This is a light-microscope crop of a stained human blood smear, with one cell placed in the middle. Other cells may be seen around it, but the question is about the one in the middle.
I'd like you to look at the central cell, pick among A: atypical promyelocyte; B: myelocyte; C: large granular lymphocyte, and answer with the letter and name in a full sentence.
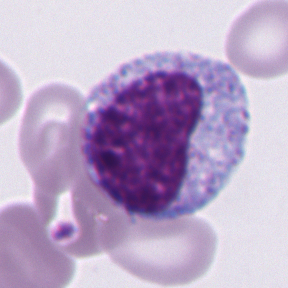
The cell right in the middle is a myelocyte, so option B is the one.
